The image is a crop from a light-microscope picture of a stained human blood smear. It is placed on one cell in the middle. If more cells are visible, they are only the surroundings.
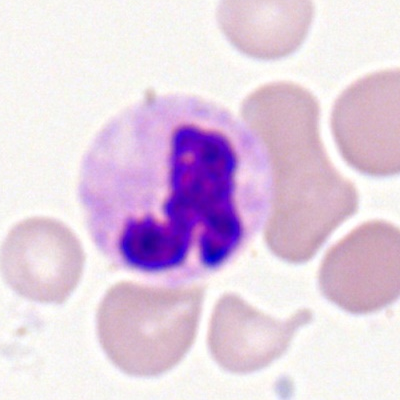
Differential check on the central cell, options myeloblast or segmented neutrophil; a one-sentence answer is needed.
The crop centres on a single cell, and that cell is a segmented neutrophil.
